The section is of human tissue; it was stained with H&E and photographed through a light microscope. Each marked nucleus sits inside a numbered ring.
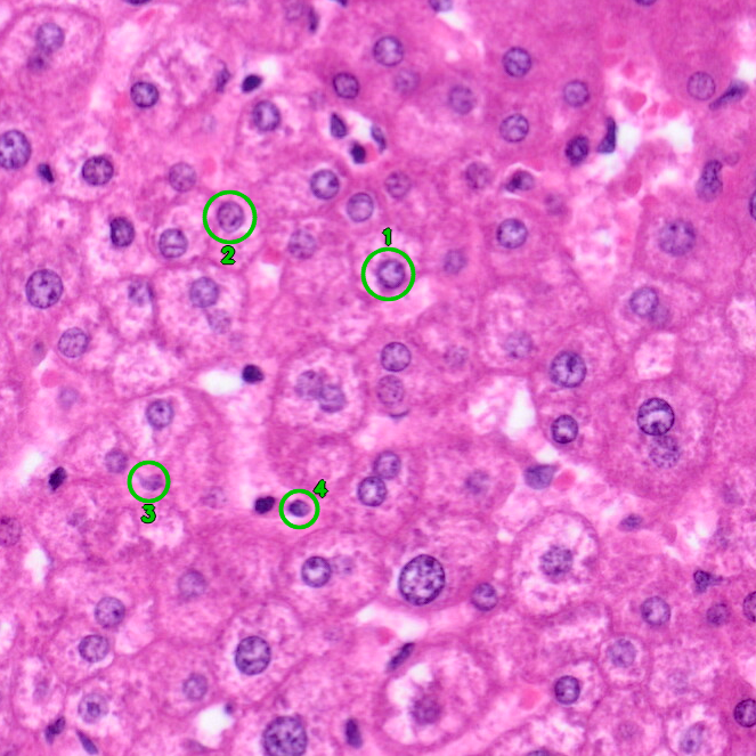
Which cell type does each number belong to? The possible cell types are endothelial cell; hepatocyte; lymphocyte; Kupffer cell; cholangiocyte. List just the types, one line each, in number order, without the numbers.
hepatocyte
hepatocyte
endothelial cell
lymphocyte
